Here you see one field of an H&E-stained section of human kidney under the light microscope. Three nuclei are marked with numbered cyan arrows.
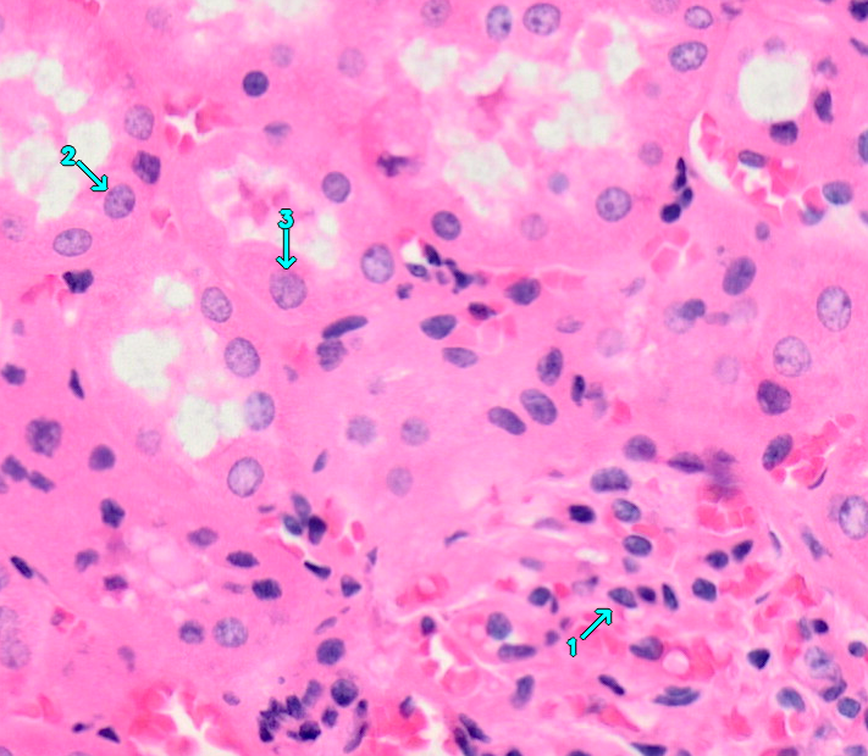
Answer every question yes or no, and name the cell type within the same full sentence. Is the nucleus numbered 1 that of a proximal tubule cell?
No, number 1 belongs to an endothelial cell, not to a proximal tubule cell.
